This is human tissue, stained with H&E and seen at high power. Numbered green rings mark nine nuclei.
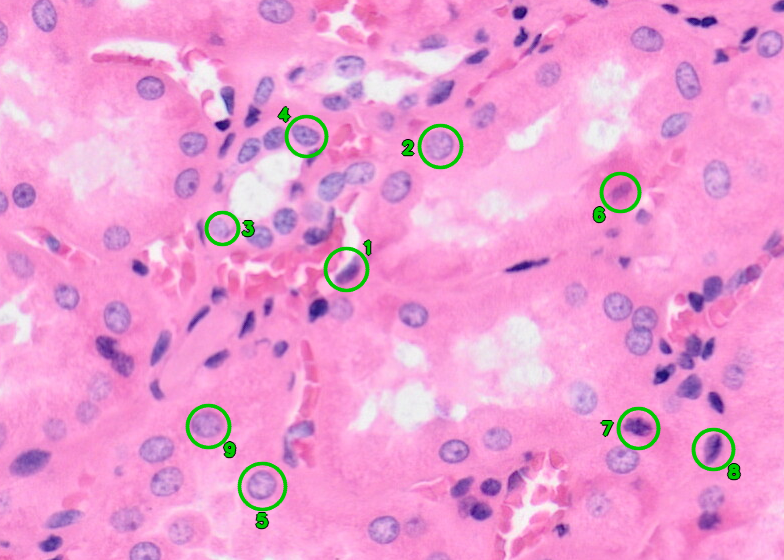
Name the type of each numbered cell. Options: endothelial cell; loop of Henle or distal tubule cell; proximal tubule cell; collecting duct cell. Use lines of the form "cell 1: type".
cell 1: endothelial cell
cell 2: proximal tubule cell
cell 3: collecting duct cell
cell 4: collecting duct cell
cell 5: proximal tubule cell
cell 6: proximal tubule cell
cell 7: proximal tubule cell
cell 8: endothelial cell
cell 9: proximal tubule cell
